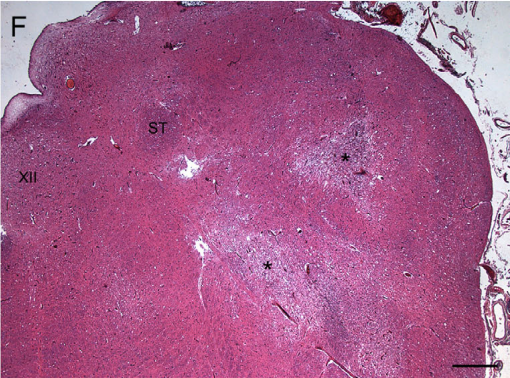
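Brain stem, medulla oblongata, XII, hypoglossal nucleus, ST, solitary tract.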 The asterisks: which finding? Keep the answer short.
Necrotic lesions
